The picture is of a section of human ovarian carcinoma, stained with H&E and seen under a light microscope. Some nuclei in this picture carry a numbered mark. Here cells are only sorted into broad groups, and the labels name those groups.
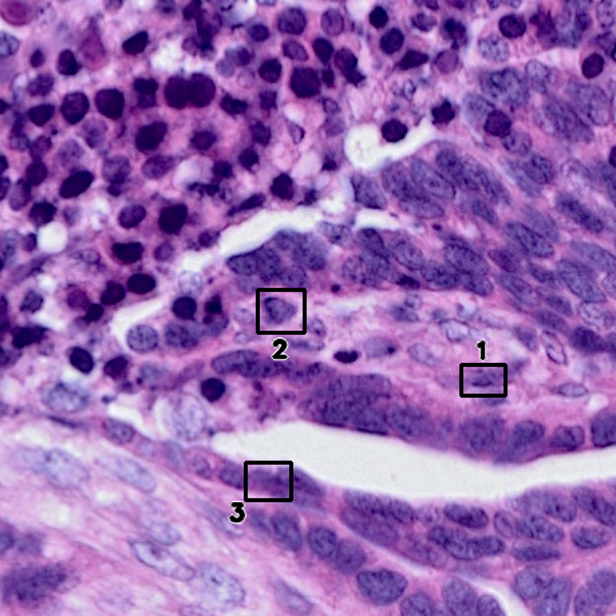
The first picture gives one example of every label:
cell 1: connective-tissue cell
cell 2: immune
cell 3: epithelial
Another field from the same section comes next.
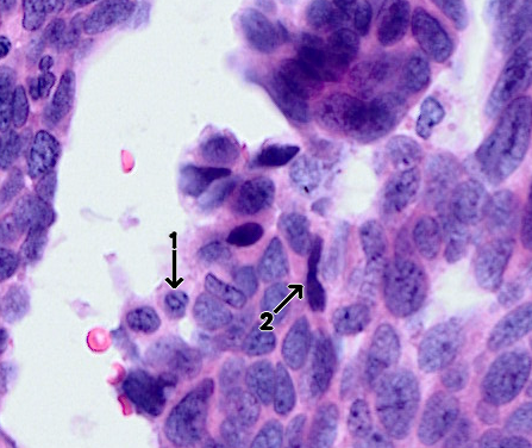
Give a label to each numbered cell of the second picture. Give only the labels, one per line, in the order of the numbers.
immune
epithelial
